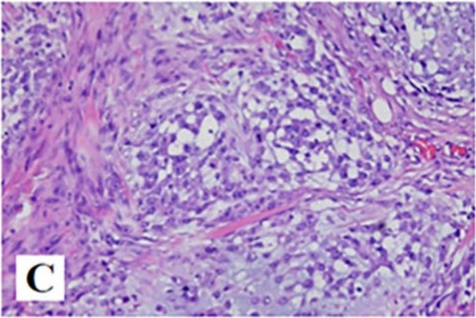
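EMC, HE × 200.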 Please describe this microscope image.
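This field shows nests of tumor cells lying in a loose, pale myxoid stroma, divided by strands of pink fibrous tissue. The tumor cells are fairly uniform in size, with round to oval, darkly stained nuclei. Many cells have clear vacuoles in or between them, giving the nests a bubbly look. The fibrous strands between the nests contain elongated spindle-shaped cells with slender nuclei. Small red blood cells can be seen at one edge of a nest.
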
